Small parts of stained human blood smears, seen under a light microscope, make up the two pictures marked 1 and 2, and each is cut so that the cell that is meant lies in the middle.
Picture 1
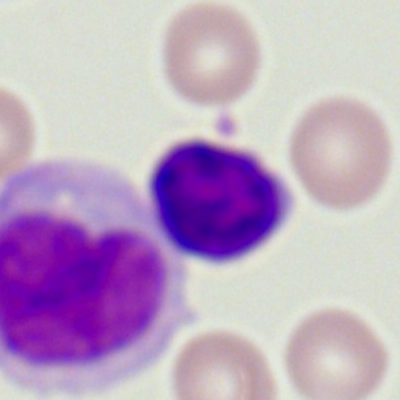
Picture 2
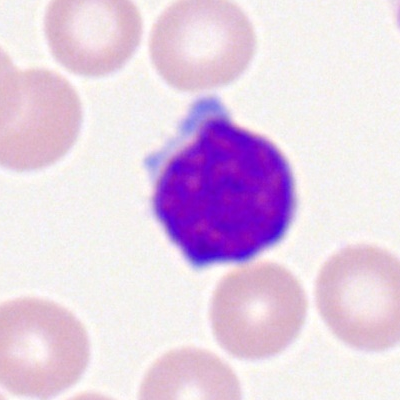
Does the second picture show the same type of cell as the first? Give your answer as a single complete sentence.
Yes; the cells in both pictures are lymphocytes.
